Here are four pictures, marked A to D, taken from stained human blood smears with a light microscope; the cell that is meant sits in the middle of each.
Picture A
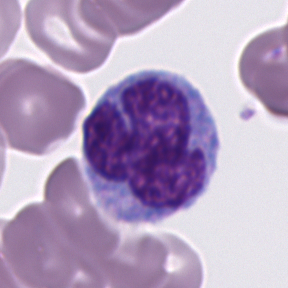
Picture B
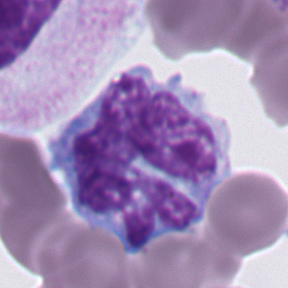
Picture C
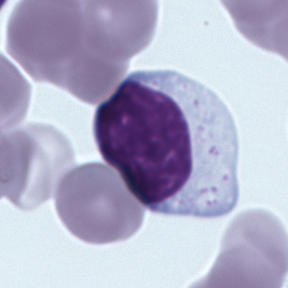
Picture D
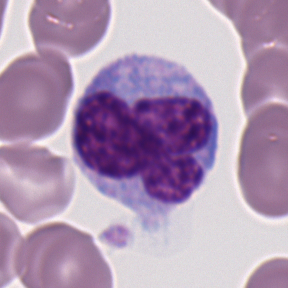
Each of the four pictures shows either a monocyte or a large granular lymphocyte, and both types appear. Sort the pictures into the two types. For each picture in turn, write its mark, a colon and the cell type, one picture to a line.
A: monocyte
B: monocyte
C: large granular lymphocyte
D: monocyte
